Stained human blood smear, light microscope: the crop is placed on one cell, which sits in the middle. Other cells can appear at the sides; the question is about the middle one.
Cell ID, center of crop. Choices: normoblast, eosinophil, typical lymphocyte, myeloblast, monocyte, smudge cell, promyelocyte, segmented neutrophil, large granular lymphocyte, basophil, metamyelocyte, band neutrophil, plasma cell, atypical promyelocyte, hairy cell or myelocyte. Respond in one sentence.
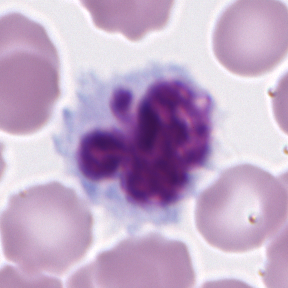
The cell in the exact centre of the crop is a hairy cell.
